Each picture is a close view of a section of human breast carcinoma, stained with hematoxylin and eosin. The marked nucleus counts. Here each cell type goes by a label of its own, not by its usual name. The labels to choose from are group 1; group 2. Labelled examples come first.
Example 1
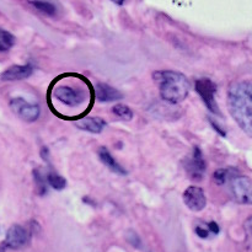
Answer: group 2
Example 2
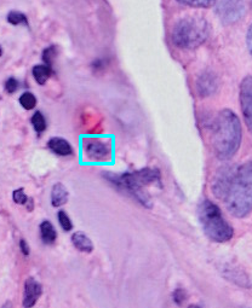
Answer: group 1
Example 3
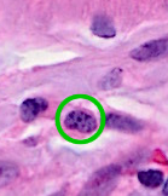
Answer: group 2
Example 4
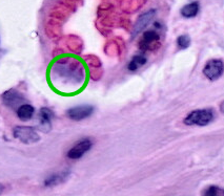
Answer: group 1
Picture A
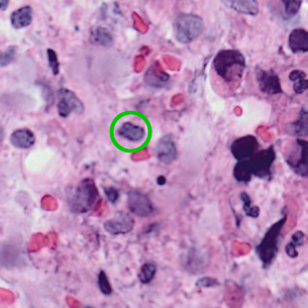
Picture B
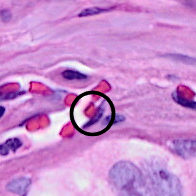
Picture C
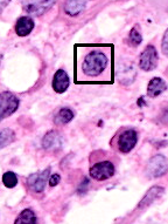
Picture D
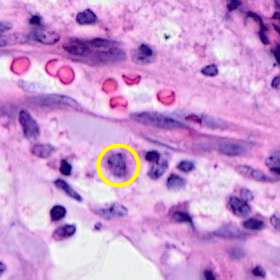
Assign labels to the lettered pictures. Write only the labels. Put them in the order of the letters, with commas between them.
group 2, group 1, group 2, group 2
